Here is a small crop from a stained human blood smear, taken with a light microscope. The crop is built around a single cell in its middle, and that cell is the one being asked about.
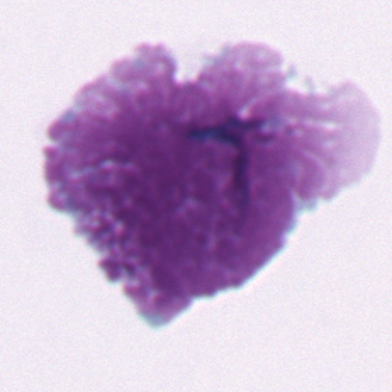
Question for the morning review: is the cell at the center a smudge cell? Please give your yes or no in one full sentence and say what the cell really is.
Yes, the cell located at the center is a smudge cell.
